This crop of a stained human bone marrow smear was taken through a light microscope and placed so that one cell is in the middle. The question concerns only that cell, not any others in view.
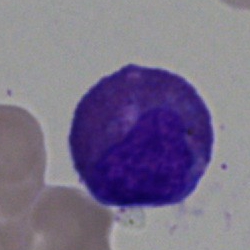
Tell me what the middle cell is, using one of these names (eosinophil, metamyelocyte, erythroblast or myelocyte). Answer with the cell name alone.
eosinophil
